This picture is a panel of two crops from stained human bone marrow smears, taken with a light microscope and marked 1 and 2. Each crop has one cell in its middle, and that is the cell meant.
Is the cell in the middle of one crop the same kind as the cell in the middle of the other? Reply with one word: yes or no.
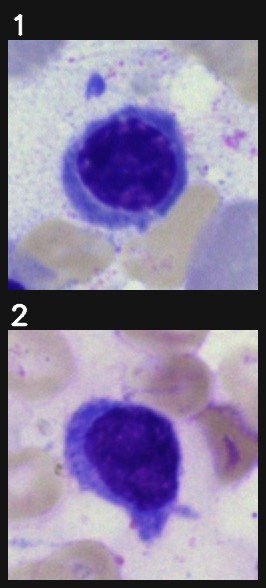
no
